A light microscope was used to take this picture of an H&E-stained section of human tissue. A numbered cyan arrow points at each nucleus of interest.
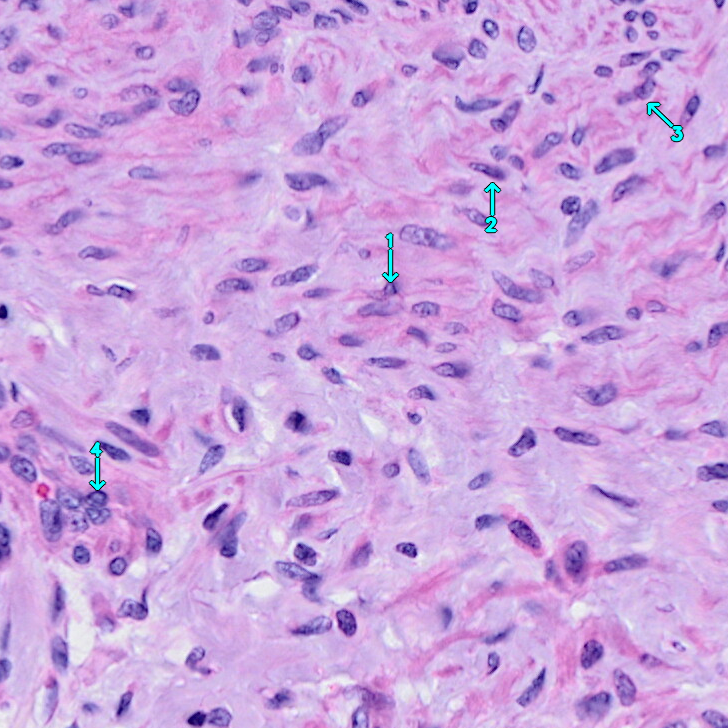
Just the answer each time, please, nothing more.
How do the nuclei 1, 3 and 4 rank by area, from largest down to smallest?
3, 4, 1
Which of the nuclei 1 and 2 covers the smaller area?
1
